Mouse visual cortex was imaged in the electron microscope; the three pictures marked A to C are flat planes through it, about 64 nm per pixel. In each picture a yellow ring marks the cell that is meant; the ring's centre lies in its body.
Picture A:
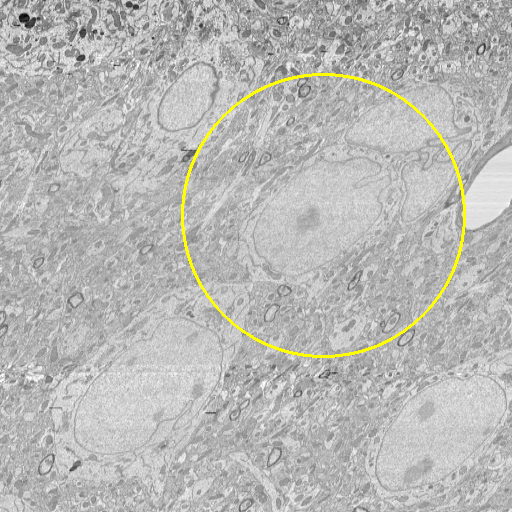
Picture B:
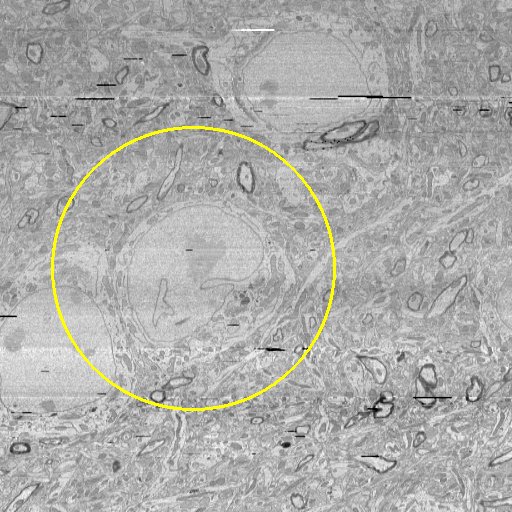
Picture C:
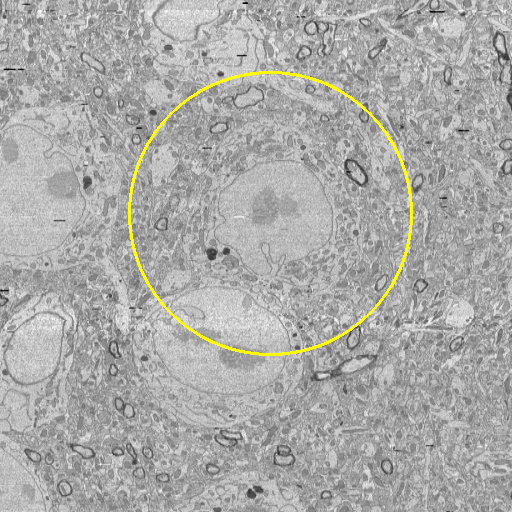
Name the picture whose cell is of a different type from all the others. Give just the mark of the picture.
A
